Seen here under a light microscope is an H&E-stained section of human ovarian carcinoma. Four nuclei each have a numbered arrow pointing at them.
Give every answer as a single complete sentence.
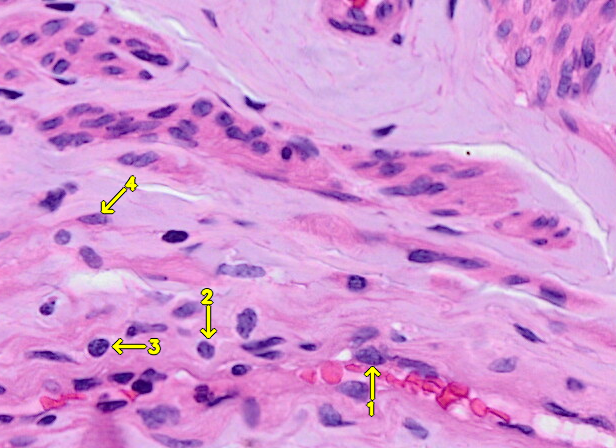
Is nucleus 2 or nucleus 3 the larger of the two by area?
Nucleus 3 is larger, with an area about 1.5 times that of nucleus 2.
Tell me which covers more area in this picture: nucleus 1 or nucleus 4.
The larger nucleus is 1, at roughly 1.5 times the area of 4.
